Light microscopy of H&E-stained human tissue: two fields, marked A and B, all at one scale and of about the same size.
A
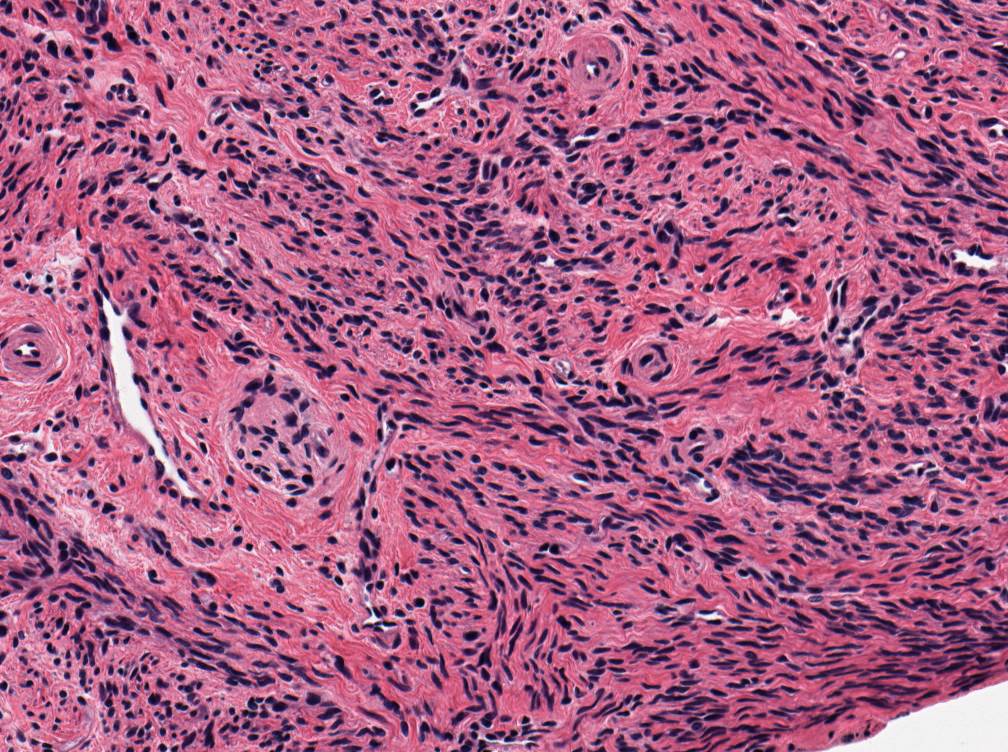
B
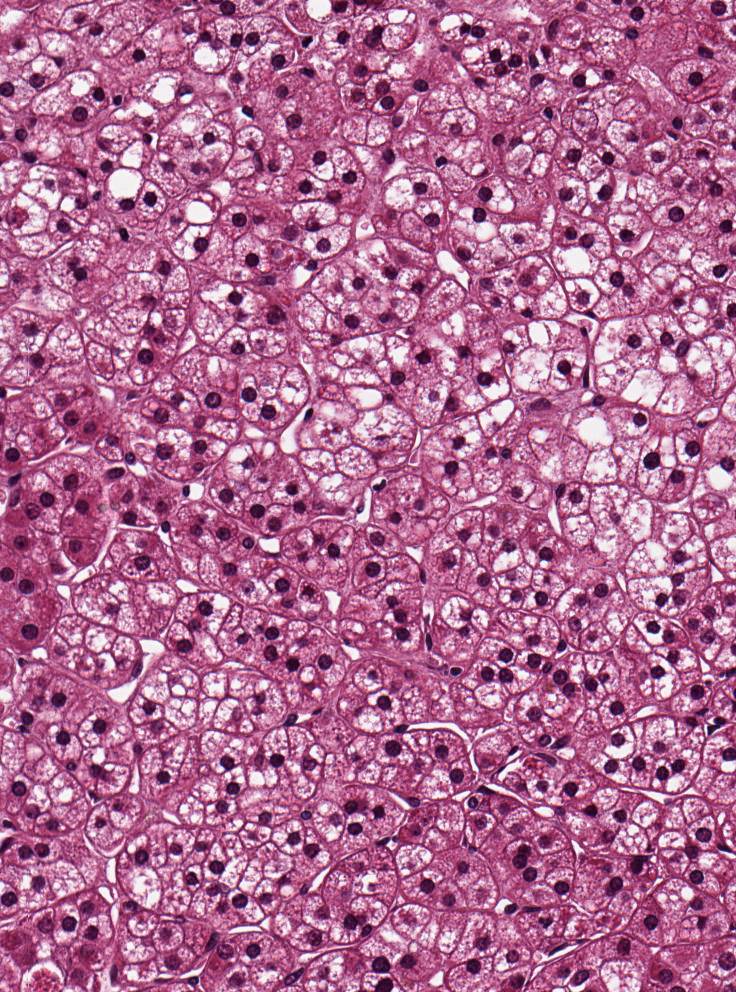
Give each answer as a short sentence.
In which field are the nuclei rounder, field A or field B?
Rounder nuclei lie in field B.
